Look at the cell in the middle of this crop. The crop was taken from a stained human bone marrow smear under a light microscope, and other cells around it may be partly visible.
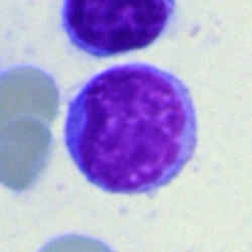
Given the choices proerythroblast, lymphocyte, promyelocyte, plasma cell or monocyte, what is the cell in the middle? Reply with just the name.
lymphocyte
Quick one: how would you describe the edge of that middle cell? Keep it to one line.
Happy to help: the outline is smooth and shows no projections.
